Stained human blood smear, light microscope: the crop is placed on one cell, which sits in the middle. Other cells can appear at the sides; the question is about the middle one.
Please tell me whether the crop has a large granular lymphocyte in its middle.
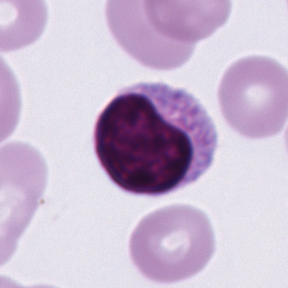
yes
